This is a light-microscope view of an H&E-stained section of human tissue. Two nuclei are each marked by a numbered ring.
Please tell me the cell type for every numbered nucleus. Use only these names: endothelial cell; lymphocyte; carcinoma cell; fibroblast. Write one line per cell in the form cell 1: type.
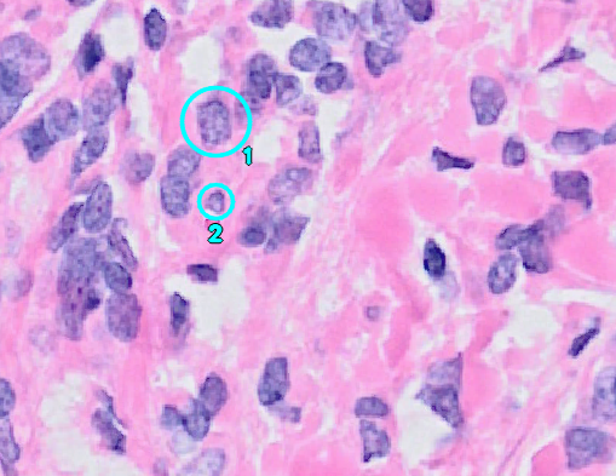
cell 1: carcinoma cell
cell 2: endothelial cell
